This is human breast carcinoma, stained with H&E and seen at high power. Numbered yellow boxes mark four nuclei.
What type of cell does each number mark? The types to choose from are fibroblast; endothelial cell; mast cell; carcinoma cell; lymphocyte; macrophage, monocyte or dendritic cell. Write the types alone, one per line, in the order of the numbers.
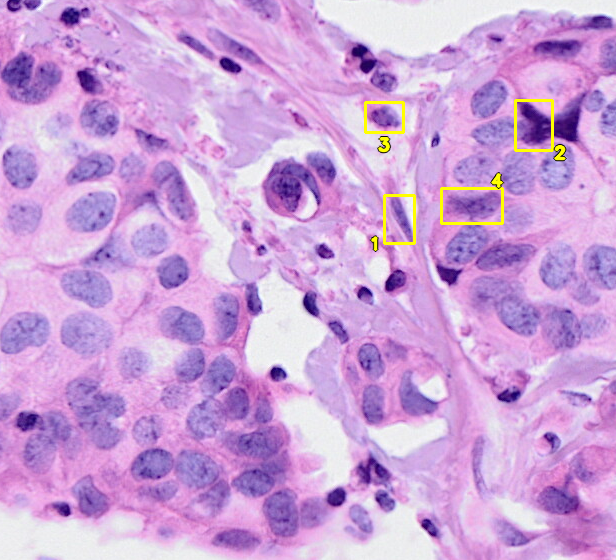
fibroblast
carcinoma cell
macrophage, monocyte or dendritic cell
carcinoma cell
